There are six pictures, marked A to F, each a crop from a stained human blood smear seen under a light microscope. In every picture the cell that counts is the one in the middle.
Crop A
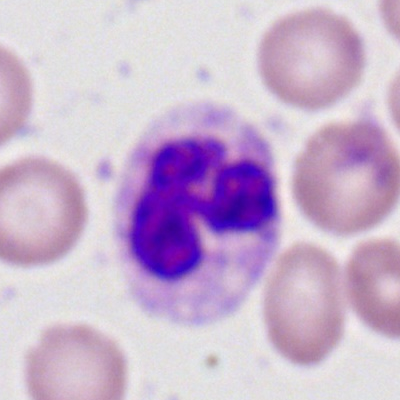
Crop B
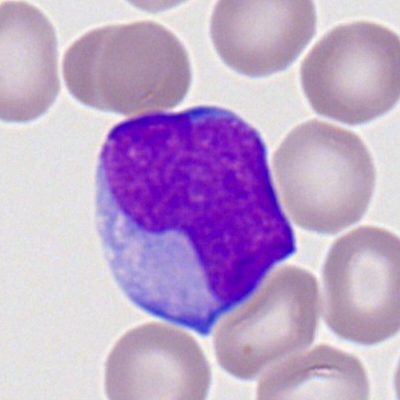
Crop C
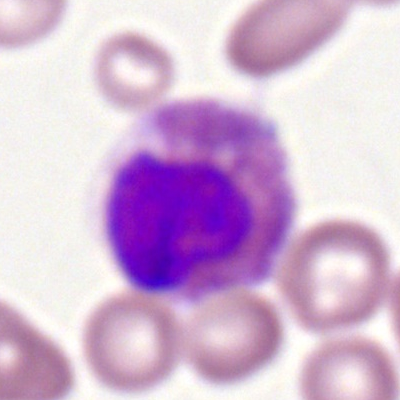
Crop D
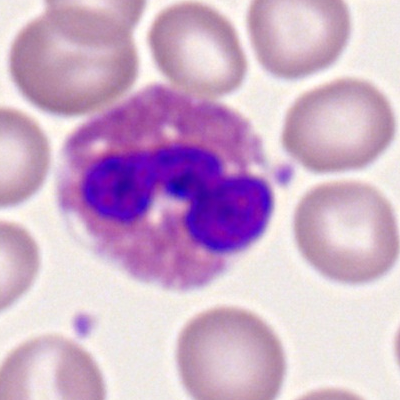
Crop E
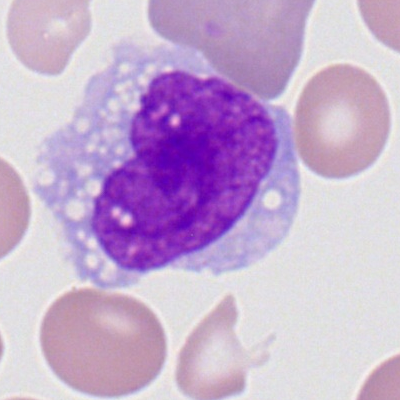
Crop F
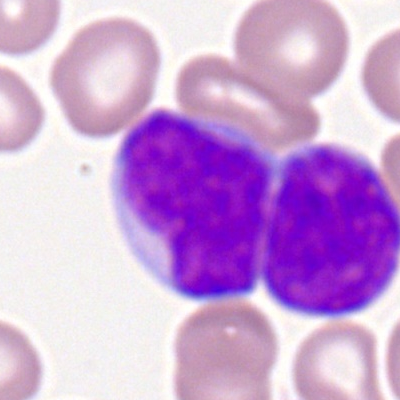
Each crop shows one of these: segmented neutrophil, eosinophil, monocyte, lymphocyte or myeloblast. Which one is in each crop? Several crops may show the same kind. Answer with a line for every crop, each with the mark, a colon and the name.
A: segmented neutrophil
B: myeloblast
C: eosinophil
D: eosinophil
E: monocyte
F: myeloblast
